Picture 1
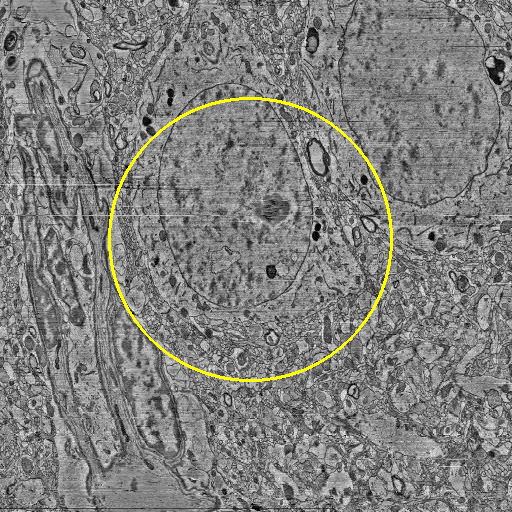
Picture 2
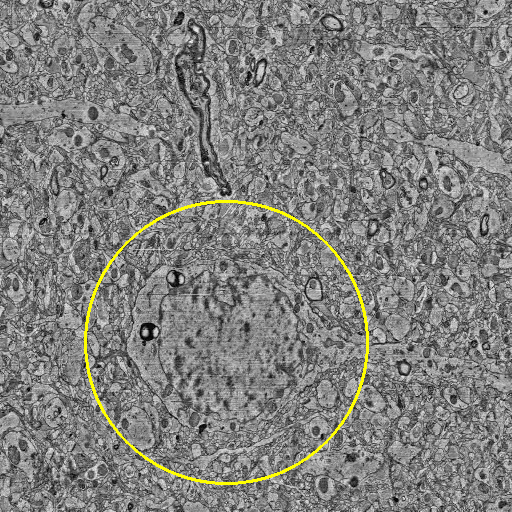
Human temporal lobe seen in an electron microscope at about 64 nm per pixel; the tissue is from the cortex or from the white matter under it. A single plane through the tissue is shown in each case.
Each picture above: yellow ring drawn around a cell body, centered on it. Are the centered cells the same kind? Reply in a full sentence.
No, the two cells are two kinds of cell.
